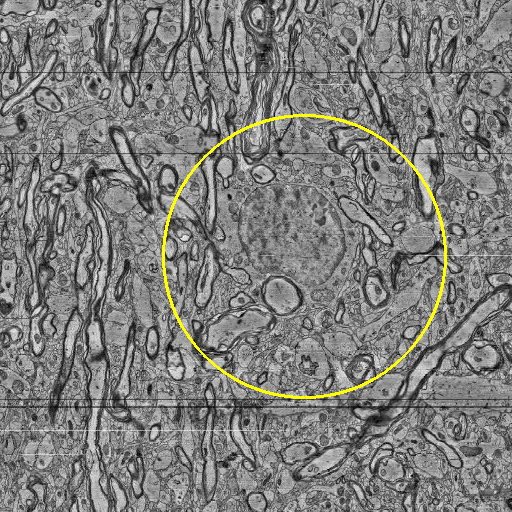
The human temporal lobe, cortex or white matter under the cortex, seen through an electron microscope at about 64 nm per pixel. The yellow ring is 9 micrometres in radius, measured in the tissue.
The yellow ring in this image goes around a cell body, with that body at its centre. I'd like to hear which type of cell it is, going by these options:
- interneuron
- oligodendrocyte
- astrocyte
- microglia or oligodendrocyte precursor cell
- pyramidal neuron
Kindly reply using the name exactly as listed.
oligodendrocyte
